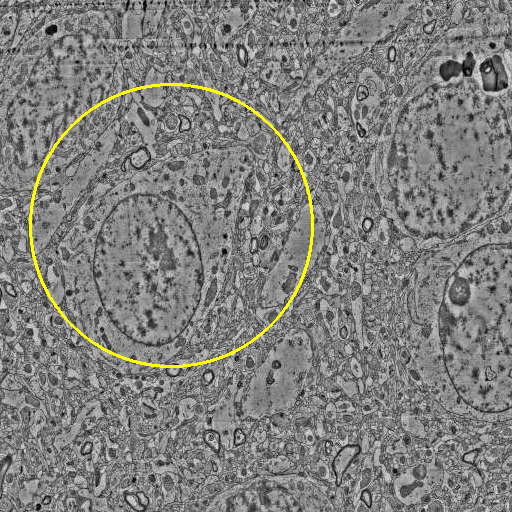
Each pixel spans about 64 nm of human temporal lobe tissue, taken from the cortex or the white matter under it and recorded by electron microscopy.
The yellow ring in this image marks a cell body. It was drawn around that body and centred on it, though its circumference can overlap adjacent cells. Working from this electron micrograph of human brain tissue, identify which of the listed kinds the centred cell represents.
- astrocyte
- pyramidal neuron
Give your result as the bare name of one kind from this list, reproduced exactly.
pyramidal neuron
